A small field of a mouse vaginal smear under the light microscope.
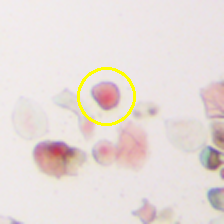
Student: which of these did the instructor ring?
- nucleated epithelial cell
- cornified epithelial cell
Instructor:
The cell I ringed is a nucleated epithelial cell.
